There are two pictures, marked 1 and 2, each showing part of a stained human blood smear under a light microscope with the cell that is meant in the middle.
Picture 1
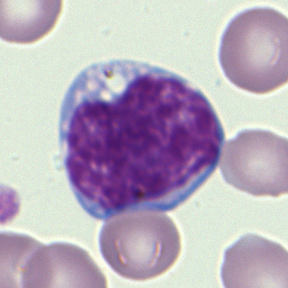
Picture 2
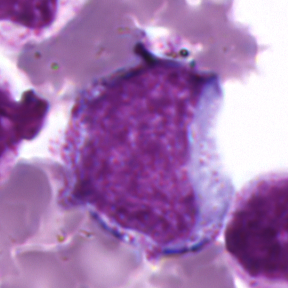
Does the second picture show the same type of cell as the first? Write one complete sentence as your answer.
No, the types are not the same, since picture 1 shows a myeloblast and picture 2 a promyelocyte.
